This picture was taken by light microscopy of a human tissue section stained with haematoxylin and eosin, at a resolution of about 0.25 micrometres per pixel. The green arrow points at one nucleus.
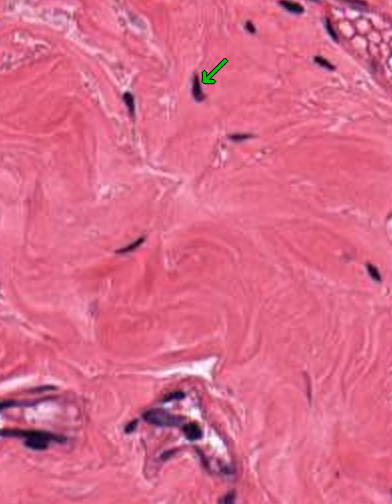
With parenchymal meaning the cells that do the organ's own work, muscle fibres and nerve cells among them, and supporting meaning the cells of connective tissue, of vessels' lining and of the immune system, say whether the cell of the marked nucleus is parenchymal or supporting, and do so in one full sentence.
In the section shown, the marked nucleus belongs to a supporting cell.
